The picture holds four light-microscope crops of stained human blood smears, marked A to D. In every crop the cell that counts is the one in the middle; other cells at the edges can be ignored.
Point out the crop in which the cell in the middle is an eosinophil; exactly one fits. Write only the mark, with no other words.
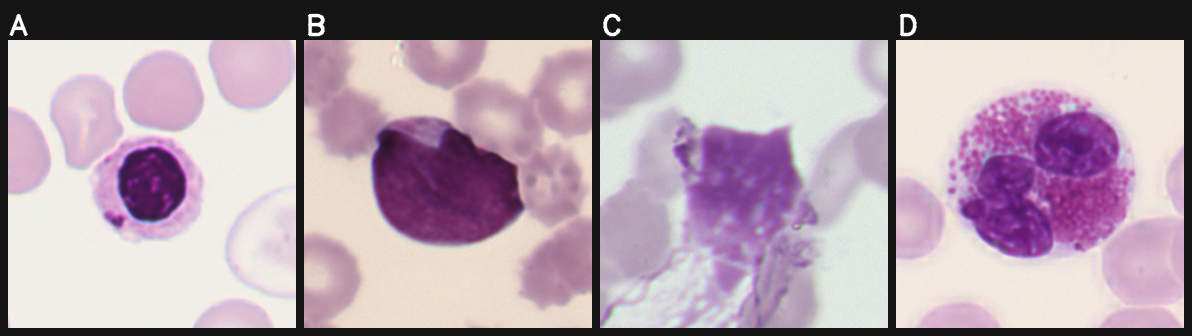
D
